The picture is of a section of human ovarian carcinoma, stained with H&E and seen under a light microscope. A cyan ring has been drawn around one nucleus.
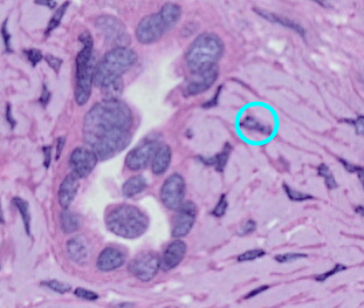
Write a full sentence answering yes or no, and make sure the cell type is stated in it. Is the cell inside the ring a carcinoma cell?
No, the cell inside the ring is recognized as a fibroblast rather than a carcinoma cell.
